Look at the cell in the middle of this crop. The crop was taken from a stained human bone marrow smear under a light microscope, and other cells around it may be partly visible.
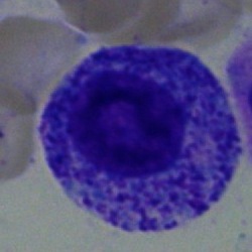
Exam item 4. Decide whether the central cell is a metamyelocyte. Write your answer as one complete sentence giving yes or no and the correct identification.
No, the label for the central cell is a myelocyte, not a metamyelocyte.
